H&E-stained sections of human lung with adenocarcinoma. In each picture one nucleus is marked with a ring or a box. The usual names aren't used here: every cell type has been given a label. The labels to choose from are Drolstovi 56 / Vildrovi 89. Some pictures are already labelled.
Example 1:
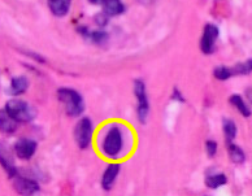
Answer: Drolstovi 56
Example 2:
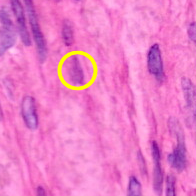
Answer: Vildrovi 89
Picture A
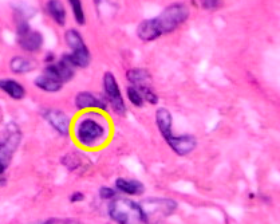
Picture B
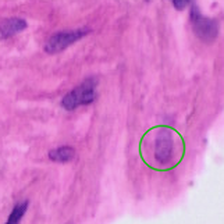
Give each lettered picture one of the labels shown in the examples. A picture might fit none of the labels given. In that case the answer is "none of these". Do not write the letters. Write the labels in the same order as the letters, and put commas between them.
Drolstovi 56, Vildrovi 89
